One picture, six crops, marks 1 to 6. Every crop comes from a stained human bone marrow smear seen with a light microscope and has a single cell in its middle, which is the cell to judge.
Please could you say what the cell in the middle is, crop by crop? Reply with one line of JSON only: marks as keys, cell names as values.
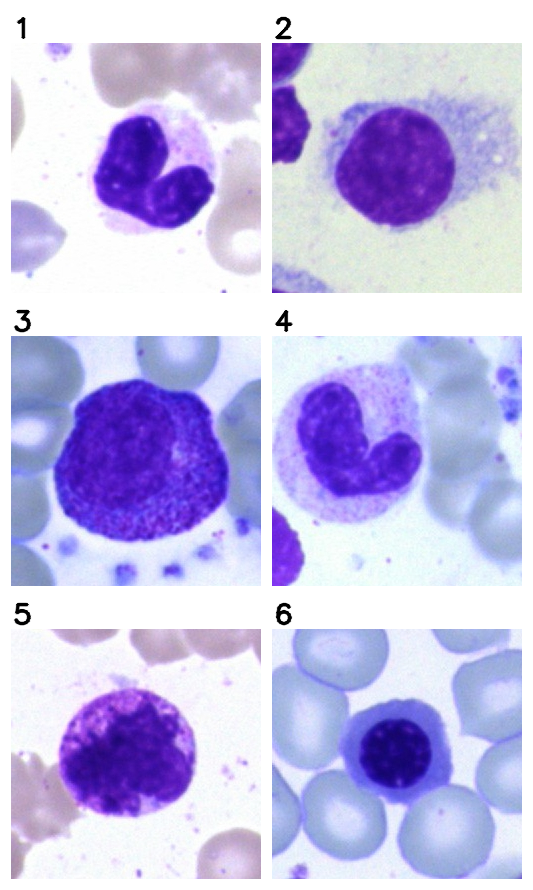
{"1": "band neutrophil", "2": "hairy cell", "3": "promyelocyte", "4": "band neutrophil", "5": "basophil", "6": "erythroblast"}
